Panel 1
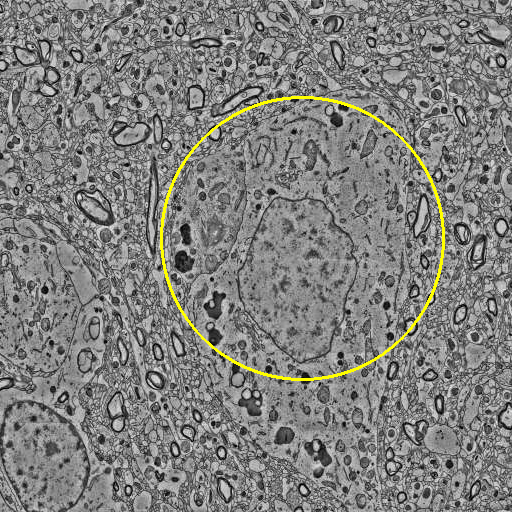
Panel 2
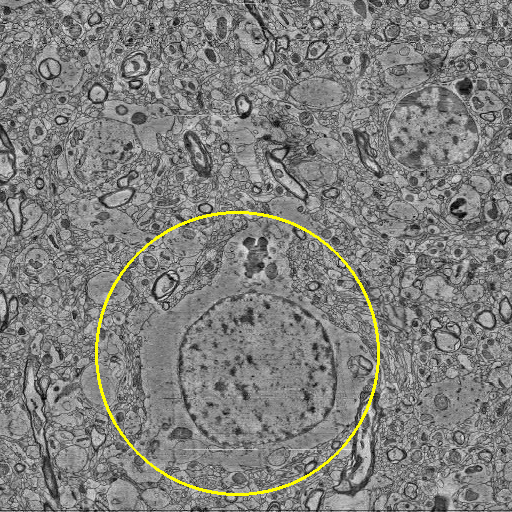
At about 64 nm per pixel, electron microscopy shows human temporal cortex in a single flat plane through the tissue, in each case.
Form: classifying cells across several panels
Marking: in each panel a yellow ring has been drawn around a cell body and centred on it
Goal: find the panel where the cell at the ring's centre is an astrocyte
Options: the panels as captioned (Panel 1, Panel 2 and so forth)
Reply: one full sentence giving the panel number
Panel 2 shows the wanted cell at the centre of its ring.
